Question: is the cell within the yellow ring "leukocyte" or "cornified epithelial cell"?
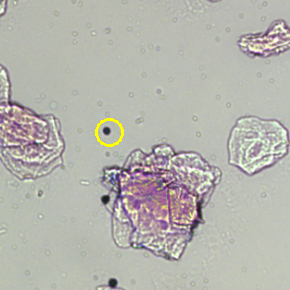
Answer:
leukocyte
